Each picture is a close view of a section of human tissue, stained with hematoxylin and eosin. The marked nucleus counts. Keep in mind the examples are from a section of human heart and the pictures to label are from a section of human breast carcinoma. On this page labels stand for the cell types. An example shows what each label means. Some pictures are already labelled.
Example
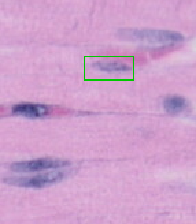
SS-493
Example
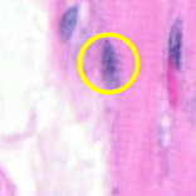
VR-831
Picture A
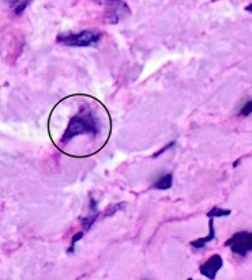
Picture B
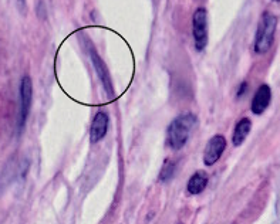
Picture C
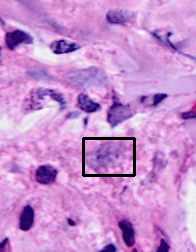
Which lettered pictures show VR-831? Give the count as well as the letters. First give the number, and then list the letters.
3: A, B, C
